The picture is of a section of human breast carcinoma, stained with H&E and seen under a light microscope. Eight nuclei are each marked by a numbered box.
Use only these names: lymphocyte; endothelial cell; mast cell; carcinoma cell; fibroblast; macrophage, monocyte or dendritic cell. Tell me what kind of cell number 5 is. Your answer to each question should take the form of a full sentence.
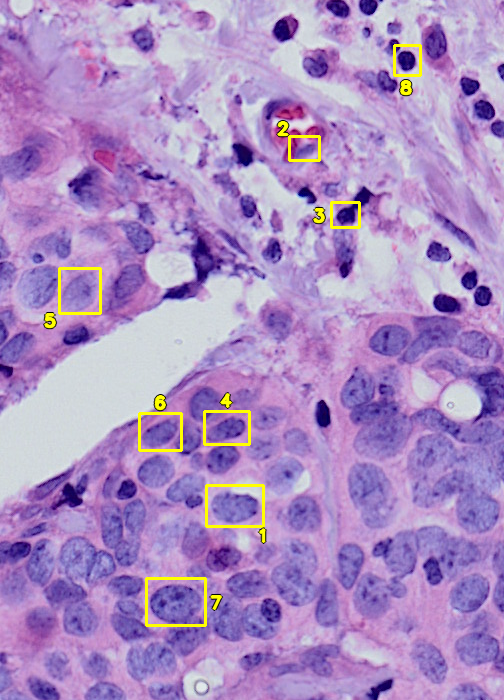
The marked cell with the number 5 is recognised as a carcinoma cell.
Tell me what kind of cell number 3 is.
The cell marked with the number 3 is a lymphocyte.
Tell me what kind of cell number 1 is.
The correct answer for cell 1 is a carcinoma cell.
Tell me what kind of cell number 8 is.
Denoted by the label 8 in the section is a lymphocyte.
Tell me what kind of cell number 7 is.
The cell that bears the number 7 is a carcinoma cell.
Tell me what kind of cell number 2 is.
The mark numbered 2 indicates the nucleus of an endothelial cell.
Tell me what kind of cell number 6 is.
It is as a carcinoma cell that the cell numbered 6 is identified.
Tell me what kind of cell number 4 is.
Heads up, the cell numbered 4 is a carcinoma cell.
